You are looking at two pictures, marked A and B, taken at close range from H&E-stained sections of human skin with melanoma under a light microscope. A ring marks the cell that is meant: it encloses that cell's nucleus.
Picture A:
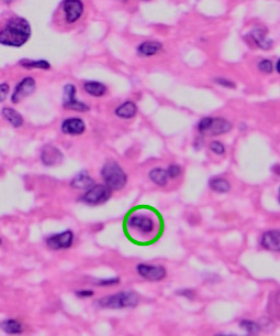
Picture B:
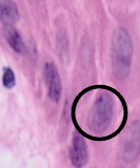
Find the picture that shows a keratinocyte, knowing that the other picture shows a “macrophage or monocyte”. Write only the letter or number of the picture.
B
